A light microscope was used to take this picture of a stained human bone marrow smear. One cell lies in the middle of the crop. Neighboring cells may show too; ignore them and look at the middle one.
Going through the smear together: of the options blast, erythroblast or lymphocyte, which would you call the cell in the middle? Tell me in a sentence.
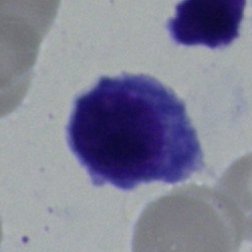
The target cell in the middle of the crop is an erythroblast.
